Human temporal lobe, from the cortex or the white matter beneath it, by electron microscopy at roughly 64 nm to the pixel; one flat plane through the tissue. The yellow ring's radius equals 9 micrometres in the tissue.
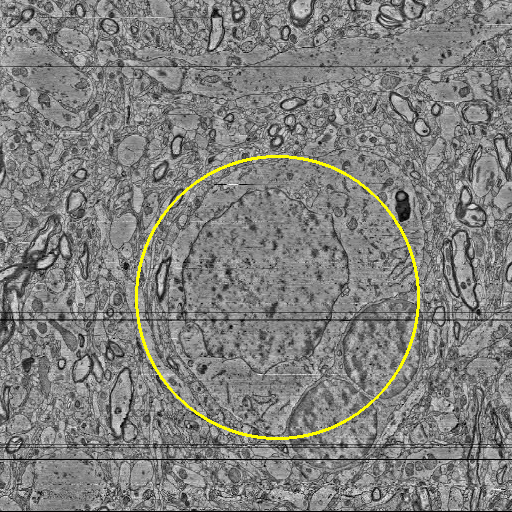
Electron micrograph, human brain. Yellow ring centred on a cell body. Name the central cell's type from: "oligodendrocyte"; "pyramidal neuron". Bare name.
pyramidal neuron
